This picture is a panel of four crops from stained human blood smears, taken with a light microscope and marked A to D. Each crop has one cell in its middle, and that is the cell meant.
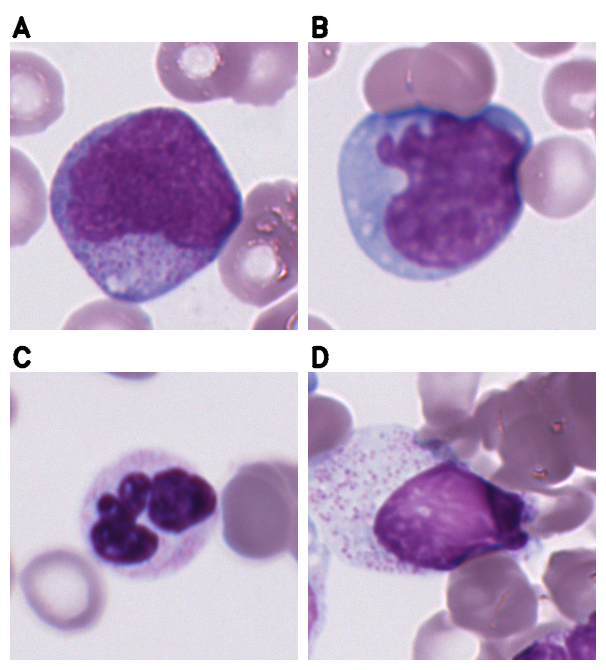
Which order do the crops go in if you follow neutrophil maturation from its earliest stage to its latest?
B, A, D, C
